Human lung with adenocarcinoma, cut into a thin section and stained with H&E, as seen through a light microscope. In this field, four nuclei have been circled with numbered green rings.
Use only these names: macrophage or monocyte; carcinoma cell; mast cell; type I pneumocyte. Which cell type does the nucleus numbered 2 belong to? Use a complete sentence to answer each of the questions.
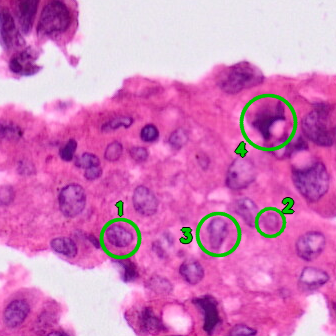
The cell bearing label 2 corresponds to a macrophage or monocyte.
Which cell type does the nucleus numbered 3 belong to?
Denoted by the label 3 in the section is a macrophage or monocyte.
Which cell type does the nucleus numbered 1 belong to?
At number 1, the marked cell is a macrophage or monocyte.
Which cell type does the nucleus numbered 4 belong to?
The cell that goes by number 4 is a carcinoma cell.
